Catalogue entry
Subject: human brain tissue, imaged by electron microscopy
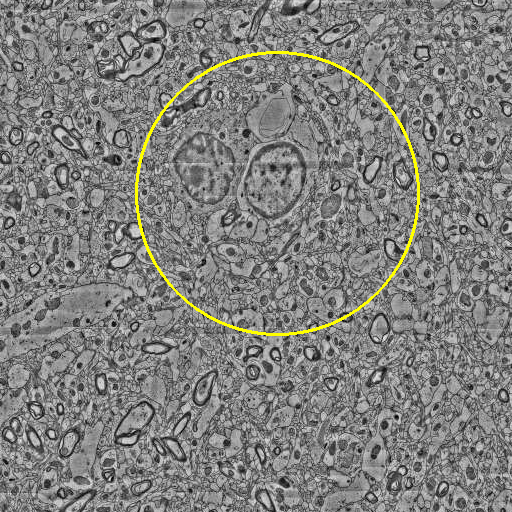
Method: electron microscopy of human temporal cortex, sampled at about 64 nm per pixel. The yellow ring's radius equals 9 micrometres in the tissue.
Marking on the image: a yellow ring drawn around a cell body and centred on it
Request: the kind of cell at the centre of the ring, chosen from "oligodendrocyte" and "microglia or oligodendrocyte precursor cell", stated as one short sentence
The ring has a microglial cell or oligodendrocyte precursor cell at its centre.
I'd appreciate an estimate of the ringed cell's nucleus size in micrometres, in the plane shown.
In this plane the nucleus is about 5 micrometres by 4.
